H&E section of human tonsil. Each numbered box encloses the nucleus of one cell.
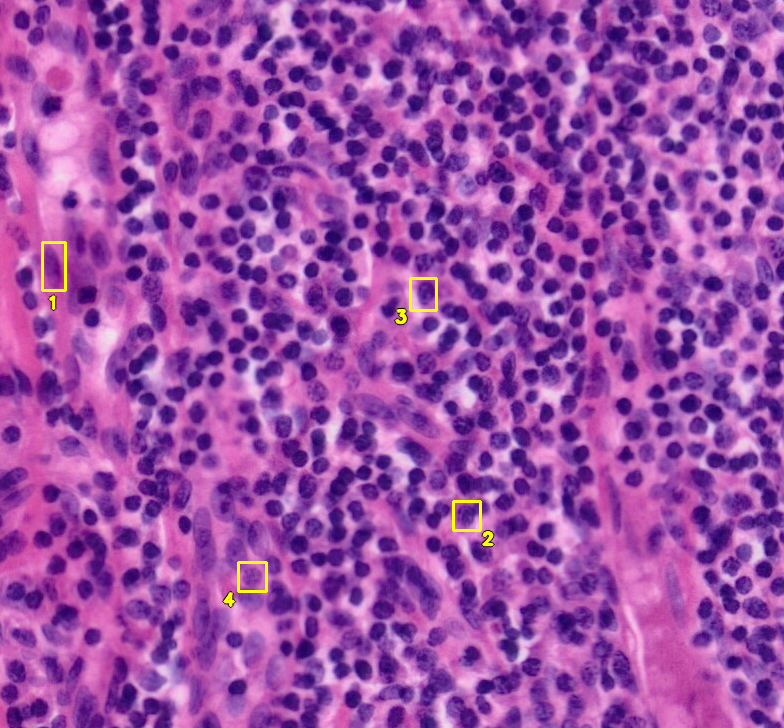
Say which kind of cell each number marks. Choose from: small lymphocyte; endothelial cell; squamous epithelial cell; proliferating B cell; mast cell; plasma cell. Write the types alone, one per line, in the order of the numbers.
endothelial cell
plasma cell
plasma cell
endothelial cell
